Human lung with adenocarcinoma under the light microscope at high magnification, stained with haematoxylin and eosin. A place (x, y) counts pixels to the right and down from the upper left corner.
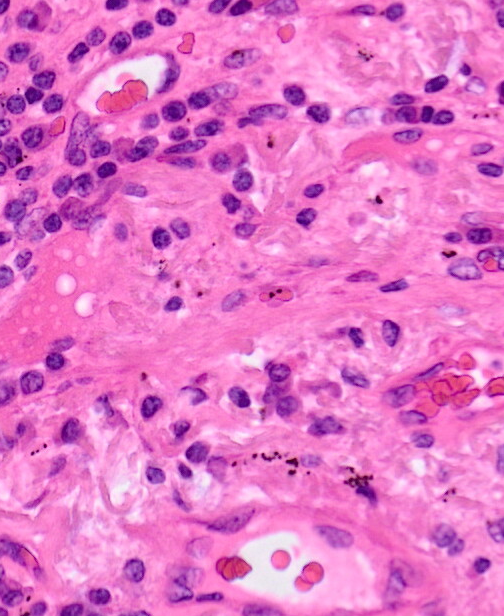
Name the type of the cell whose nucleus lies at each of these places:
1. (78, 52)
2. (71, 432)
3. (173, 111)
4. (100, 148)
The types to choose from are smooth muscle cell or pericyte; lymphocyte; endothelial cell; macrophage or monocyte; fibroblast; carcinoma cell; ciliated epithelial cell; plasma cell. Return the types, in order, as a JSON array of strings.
["lymphocyte", "plasma cell", "lymphocyte", "lymphocyte"]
